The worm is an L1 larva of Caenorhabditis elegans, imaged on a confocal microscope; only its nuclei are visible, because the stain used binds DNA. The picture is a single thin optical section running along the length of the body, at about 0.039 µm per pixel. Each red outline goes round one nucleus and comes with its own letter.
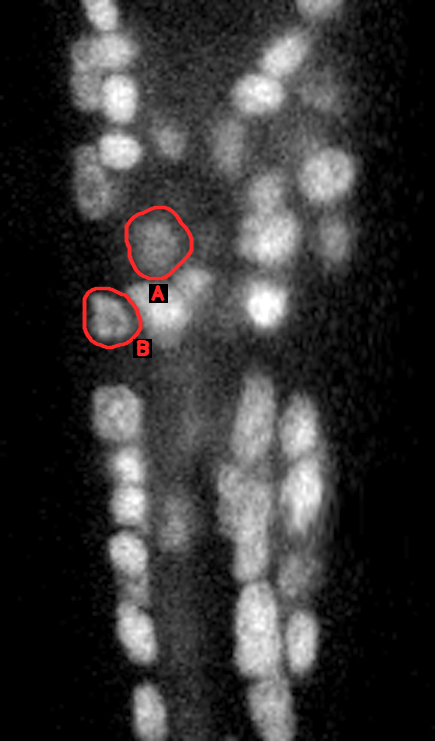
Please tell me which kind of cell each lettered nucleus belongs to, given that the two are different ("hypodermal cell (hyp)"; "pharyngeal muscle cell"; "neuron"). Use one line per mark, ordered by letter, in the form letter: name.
A: pharyngeal muscle cell
B: hypodermal cell (hyp)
